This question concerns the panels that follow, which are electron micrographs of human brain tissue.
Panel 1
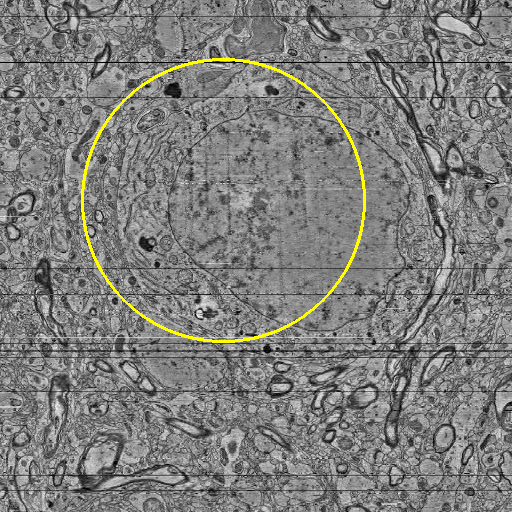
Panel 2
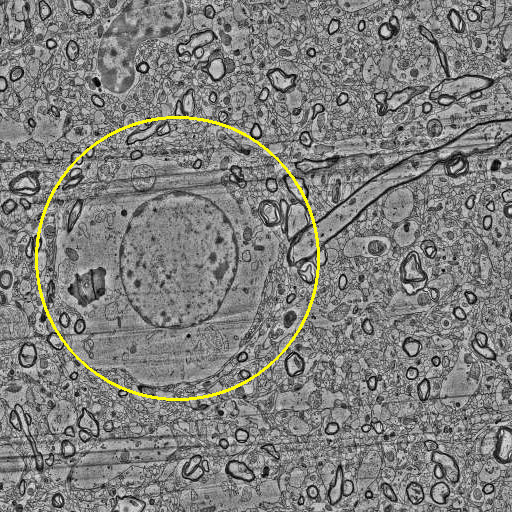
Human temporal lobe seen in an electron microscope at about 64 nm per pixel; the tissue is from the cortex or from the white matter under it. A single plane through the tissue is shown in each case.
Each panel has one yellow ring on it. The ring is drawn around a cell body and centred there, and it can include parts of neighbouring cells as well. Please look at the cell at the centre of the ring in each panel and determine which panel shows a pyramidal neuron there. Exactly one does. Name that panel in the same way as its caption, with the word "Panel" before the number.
Panel 1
